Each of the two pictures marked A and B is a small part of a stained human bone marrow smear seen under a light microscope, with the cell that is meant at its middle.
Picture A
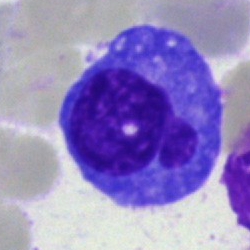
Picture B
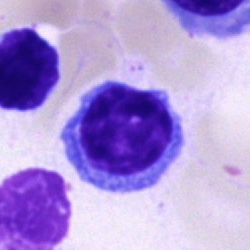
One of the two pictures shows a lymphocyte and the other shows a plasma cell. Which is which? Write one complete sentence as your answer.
The cell in picture A is a plasma cell, and the one in picture B is a lymphocyte.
